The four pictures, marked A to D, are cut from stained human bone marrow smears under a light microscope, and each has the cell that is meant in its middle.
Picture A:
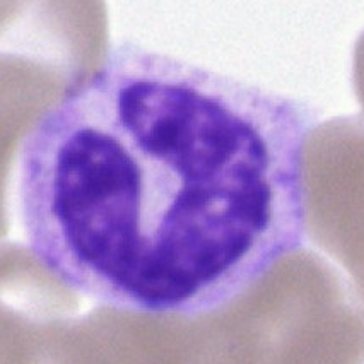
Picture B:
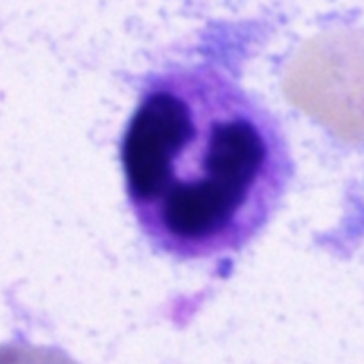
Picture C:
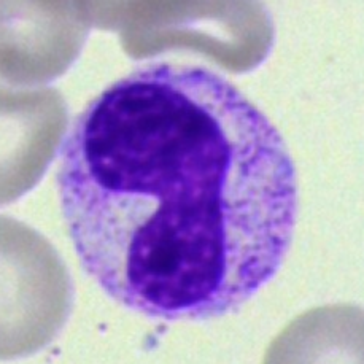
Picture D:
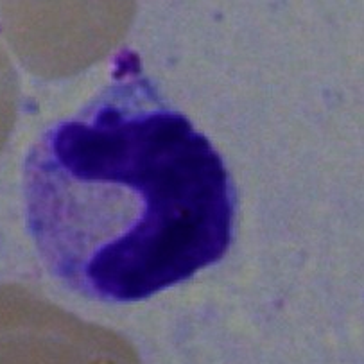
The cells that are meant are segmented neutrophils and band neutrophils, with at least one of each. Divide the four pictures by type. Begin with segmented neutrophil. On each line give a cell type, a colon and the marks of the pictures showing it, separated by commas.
segmented neutrophil: B
band neutrophil: A, C, D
